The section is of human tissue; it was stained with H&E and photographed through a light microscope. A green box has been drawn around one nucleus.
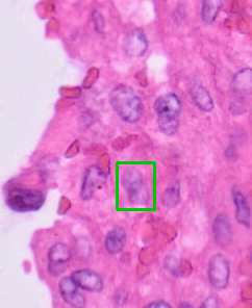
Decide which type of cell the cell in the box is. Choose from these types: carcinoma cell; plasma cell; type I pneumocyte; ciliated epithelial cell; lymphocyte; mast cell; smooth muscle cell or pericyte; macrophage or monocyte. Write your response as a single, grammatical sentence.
The cell type represented by the cell in the box is that of a macrophage or monocyte.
